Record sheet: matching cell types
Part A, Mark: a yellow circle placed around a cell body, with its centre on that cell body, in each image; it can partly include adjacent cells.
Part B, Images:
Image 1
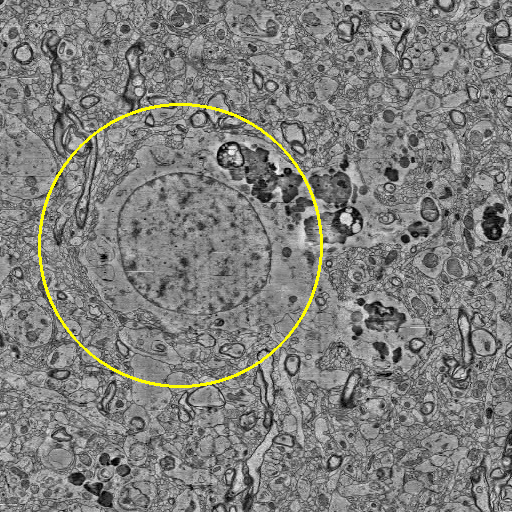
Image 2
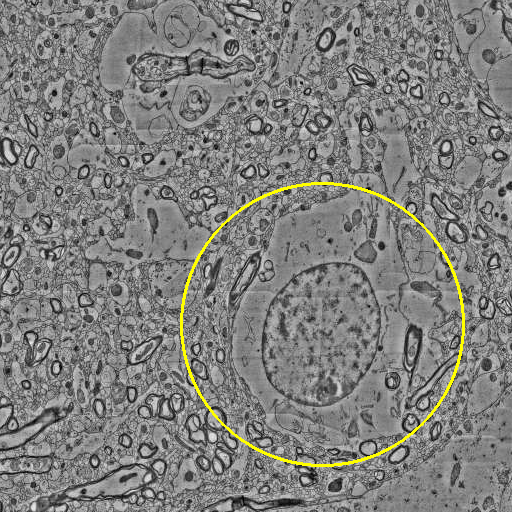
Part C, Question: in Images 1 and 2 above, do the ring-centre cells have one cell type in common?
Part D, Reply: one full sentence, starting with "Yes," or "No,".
Yes, the ring-centre cells of Image 1 and Image 2 are both of a single cell type.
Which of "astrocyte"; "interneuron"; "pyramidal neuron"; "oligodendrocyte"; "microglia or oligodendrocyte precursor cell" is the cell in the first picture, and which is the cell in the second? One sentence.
Both rings mark an astrocyte, one in each picture.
